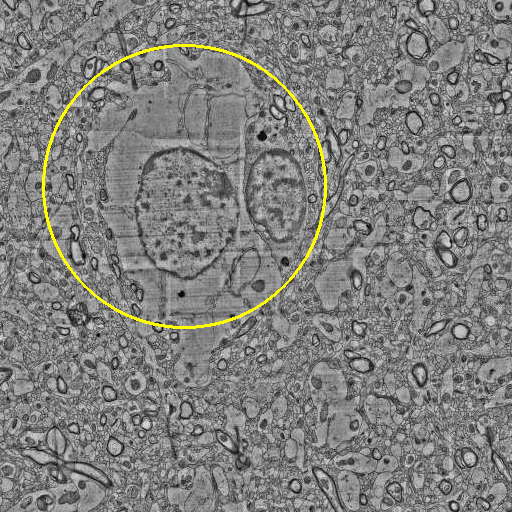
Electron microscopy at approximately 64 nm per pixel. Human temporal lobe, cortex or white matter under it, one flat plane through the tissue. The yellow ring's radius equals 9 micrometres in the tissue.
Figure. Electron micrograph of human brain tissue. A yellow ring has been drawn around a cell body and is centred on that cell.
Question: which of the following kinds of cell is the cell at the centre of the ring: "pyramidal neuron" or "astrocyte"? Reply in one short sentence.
The cell at the centre of the ring is an astrocyte.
